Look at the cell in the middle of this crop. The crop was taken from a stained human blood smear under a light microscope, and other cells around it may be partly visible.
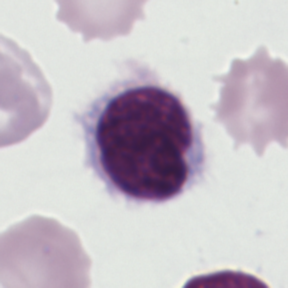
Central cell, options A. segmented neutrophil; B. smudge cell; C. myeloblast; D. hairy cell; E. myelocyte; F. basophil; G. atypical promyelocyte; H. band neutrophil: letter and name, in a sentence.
Of the options given, D is correct, the central cell being a hairy cell.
